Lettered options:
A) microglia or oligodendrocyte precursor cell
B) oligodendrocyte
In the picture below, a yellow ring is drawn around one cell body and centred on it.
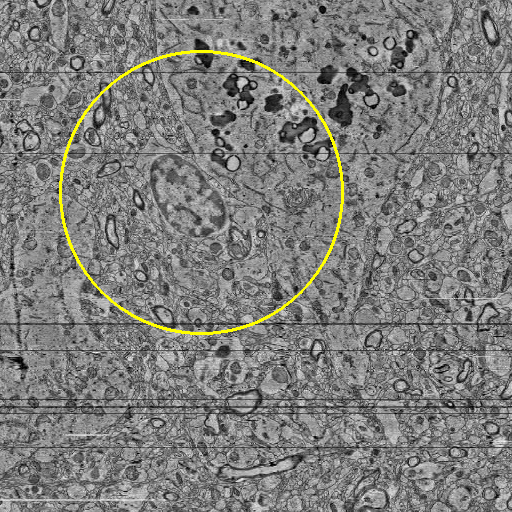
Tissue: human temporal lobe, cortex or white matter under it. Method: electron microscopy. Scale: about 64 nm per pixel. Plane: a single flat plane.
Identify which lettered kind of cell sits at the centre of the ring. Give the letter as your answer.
A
